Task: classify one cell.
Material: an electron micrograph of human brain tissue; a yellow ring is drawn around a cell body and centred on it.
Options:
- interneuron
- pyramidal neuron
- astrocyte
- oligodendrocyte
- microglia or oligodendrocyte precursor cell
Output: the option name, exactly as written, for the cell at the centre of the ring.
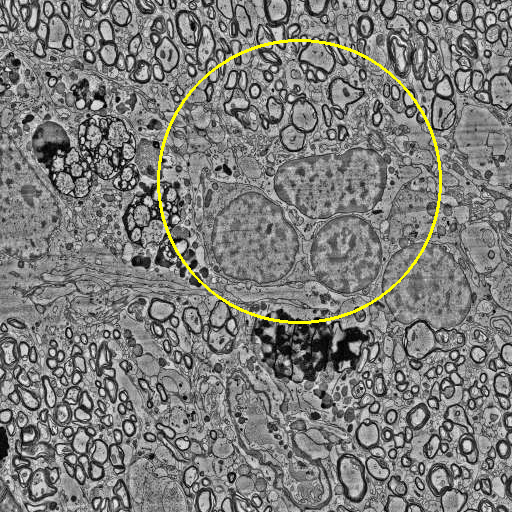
microglia or oligodendrocyte precursor cell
